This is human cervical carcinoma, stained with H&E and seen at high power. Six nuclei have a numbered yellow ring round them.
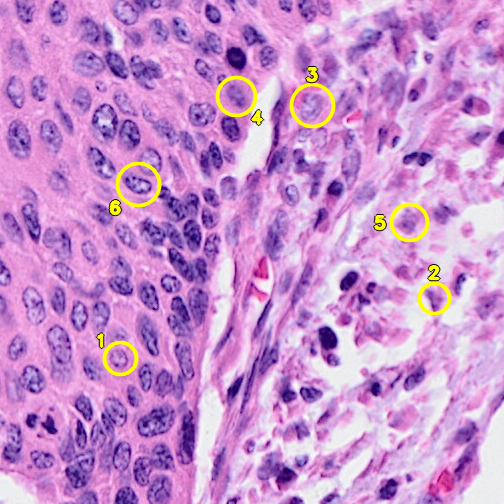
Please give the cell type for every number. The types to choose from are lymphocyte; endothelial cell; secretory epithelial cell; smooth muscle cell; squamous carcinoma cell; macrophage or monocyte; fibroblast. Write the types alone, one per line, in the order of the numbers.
squamous carcinoma cell
fibroblast
endothelial cell
squamous carcinoma cell
fibroblast
squamous carcinoma cell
